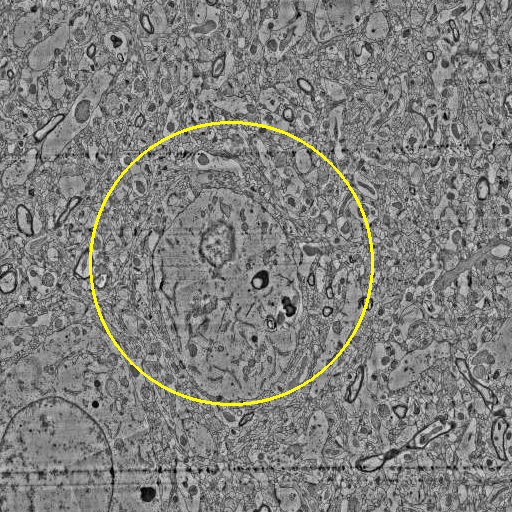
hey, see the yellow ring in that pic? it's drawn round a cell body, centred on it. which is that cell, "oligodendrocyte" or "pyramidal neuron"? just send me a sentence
The cell in the ring is a pyramidal neuron.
